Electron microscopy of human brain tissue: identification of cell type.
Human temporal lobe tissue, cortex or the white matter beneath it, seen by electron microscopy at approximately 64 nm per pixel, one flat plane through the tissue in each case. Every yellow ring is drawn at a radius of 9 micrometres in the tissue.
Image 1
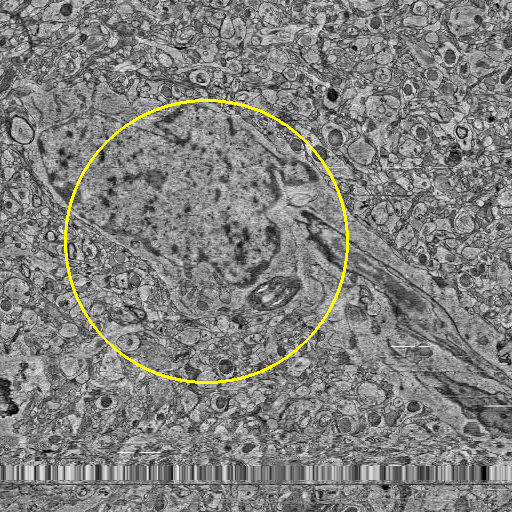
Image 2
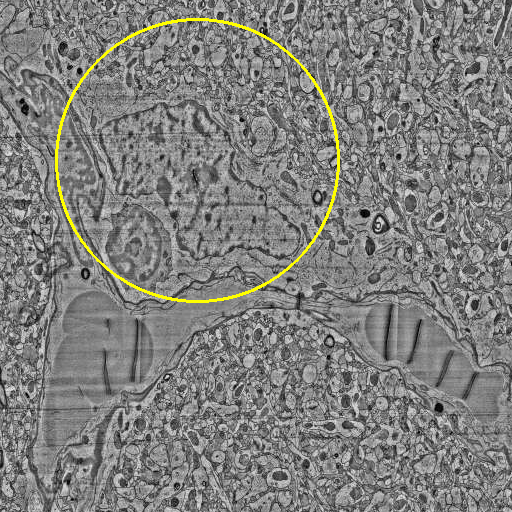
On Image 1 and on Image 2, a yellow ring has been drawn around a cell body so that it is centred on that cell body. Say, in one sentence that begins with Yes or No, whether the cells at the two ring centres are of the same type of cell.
Yes, both cells are the same type of cell.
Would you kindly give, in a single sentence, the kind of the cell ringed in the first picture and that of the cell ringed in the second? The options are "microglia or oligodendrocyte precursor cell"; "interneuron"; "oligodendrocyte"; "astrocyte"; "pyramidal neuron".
Each cell at the centre of a ring is a microglial cell or oligodendrocyte precursor cell.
